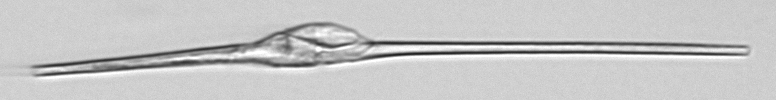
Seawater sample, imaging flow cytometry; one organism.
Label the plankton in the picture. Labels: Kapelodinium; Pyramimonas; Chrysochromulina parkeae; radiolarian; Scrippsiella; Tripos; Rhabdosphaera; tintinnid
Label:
Tripos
